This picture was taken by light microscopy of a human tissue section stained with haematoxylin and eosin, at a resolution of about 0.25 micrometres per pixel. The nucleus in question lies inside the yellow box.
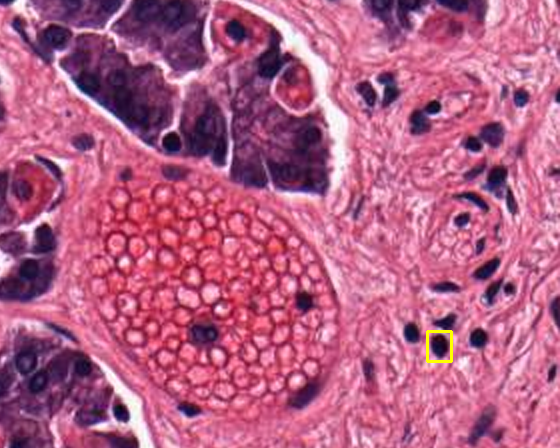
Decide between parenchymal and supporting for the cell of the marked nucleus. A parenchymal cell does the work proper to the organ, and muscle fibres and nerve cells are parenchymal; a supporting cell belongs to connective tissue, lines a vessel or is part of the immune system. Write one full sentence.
In this field, the marked nucleus is the nucleus of a supporting cell.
